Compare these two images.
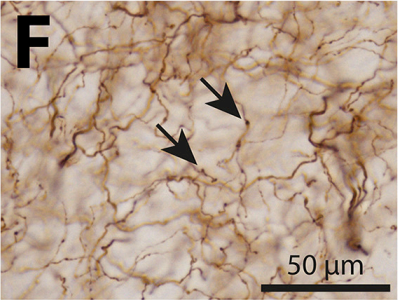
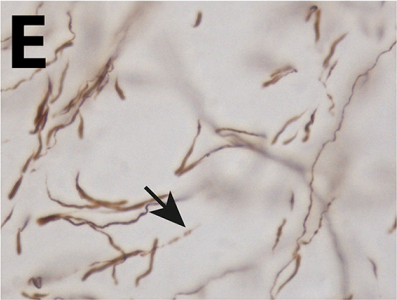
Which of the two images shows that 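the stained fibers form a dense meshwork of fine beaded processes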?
The first image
